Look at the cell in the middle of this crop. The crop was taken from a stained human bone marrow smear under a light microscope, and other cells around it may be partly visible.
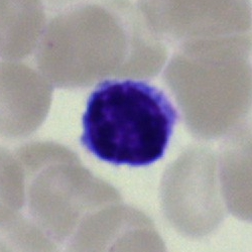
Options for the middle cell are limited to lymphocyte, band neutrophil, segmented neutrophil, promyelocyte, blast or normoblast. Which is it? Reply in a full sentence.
Seen at the centre of the crop is a lymphocyte.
